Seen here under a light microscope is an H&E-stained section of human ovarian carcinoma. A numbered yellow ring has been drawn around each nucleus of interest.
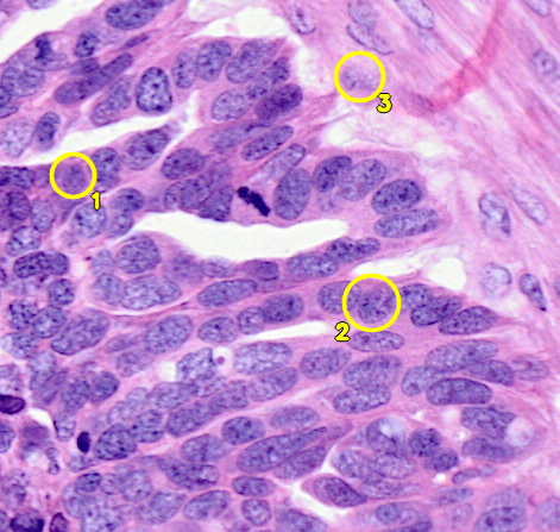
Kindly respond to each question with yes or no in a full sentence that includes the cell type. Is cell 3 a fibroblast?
Yes, the cell distinguished by number 3 is a fibroblast.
